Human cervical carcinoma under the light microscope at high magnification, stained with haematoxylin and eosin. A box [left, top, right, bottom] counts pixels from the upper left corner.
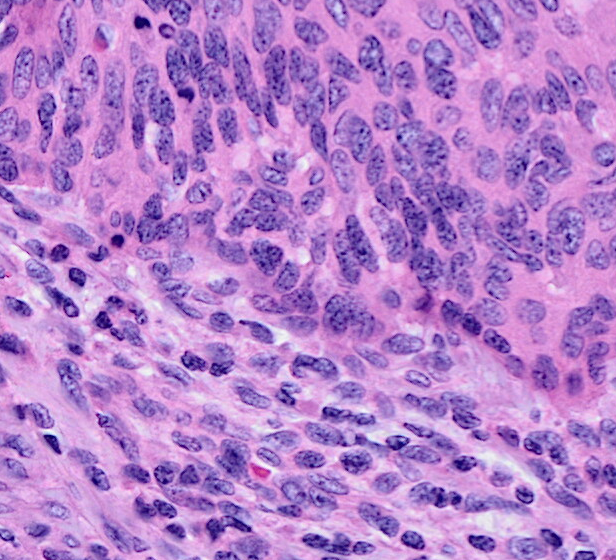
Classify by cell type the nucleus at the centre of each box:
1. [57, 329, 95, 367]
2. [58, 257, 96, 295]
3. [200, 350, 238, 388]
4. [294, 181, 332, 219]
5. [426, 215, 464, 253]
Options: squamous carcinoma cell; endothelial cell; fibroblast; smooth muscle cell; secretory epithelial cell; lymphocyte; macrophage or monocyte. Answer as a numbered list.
1. lymphocyte
2. lymphocyte
3. lymphocyte
4. squamous carcinoma cell
5. squamous carcinoma cell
